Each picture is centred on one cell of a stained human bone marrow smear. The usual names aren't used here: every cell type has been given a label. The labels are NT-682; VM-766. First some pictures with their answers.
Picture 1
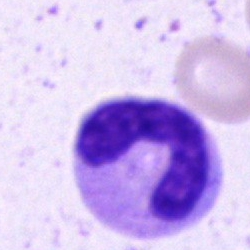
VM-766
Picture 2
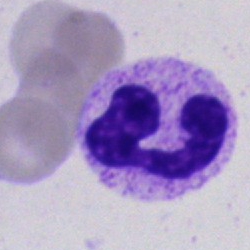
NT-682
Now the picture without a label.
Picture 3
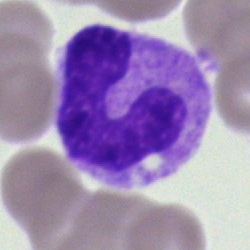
VM-766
